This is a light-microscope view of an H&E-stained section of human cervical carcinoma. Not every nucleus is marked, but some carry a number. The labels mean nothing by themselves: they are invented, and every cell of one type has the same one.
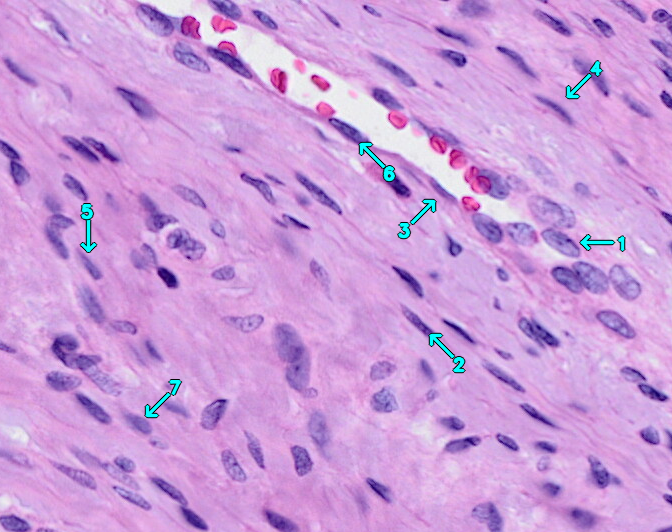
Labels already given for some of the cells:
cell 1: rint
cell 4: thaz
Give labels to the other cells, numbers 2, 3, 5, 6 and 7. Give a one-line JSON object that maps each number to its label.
{"2": "thaz", "3": "rint", "5": "thaz", "6": "rint", "7": "thaz"}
